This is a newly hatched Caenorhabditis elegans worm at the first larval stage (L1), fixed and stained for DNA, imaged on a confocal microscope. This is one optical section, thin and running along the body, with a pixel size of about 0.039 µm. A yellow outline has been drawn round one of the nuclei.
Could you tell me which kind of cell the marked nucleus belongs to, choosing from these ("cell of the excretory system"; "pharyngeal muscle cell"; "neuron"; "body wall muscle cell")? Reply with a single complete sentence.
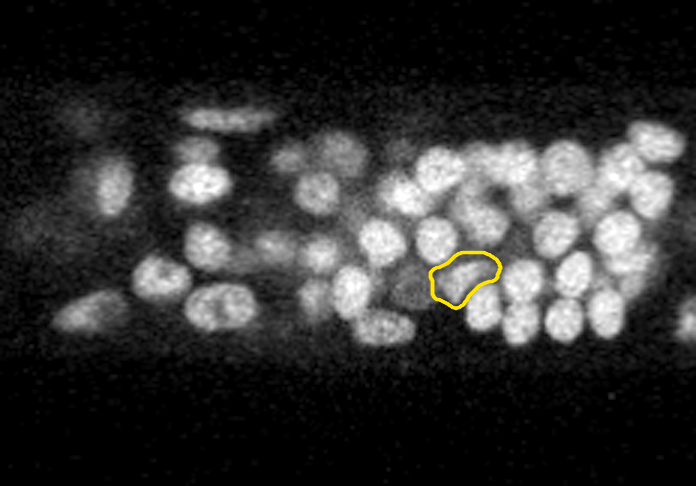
It belongs to a cell of the excretory system.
